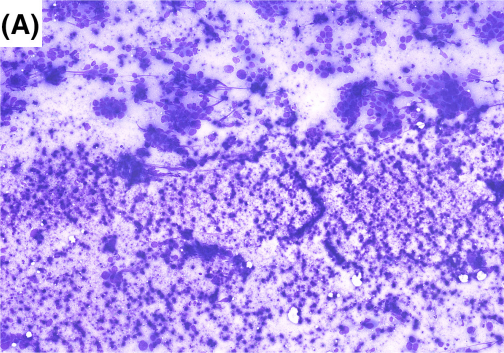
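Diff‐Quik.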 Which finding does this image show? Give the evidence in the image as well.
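Necrosis. The background is filled with fine, granular purple debris. Cell clusters lie among the dirty granular material.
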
